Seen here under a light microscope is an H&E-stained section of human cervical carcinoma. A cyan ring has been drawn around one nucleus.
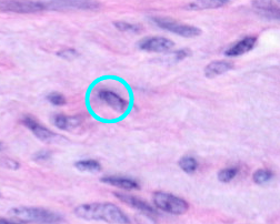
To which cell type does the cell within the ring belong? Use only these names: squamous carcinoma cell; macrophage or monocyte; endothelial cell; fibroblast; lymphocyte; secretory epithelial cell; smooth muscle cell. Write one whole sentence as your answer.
Students should answer that the cell within the ring is a smooth muscle cell.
